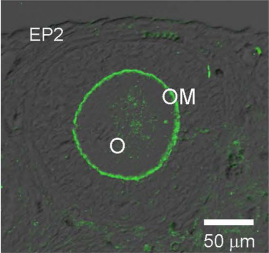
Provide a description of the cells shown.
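This is a follicle in the ovary with a large round oocyte at its centre, surrounded by rings of granulosa cells. The green is concentrated in a sharp bright ring at the oocyte's edge, with only faint speckles inside the oocyte and little green in the surrounding cell layers.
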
